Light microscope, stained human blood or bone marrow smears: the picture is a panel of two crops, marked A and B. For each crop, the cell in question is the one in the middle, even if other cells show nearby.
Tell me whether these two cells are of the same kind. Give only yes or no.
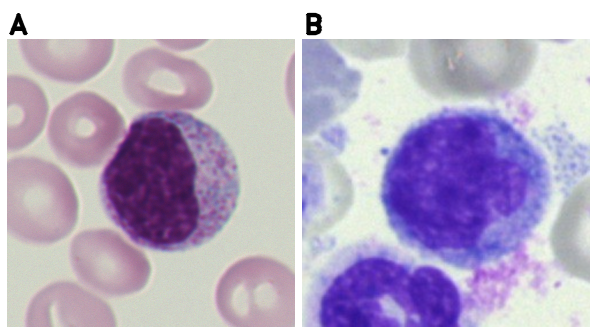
no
